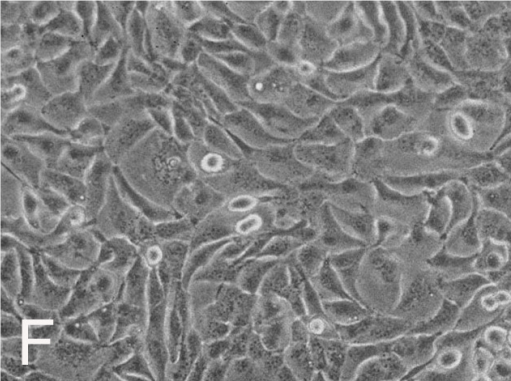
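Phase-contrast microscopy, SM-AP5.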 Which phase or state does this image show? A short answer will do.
short spindle shape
